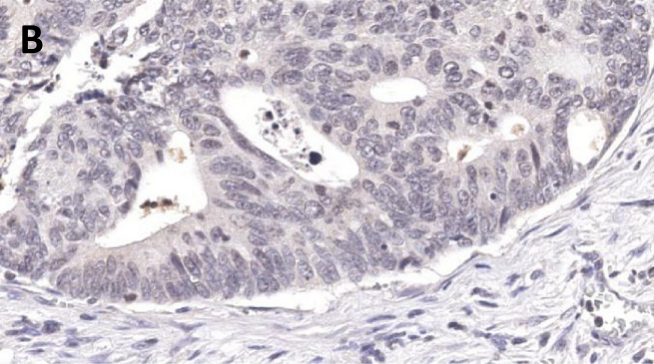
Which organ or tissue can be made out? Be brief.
colorectal carcinoma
